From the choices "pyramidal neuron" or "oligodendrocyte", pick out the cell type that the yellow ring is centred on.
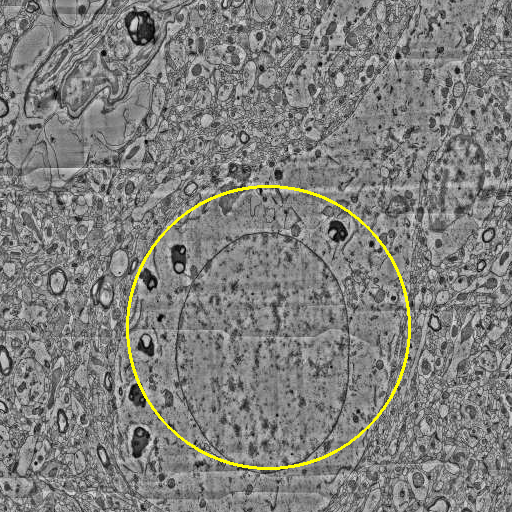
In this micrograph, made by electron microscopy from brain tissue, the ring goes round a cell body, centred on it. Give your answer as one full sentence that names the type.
The yellow ring is centred on a pyramidal neuron, whose cell body it encircles in the picture.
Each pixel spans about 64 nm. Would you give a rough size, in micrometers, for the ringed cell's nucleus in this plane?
In this plane the nucleus spans approximately 15 by 11 micrometers.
